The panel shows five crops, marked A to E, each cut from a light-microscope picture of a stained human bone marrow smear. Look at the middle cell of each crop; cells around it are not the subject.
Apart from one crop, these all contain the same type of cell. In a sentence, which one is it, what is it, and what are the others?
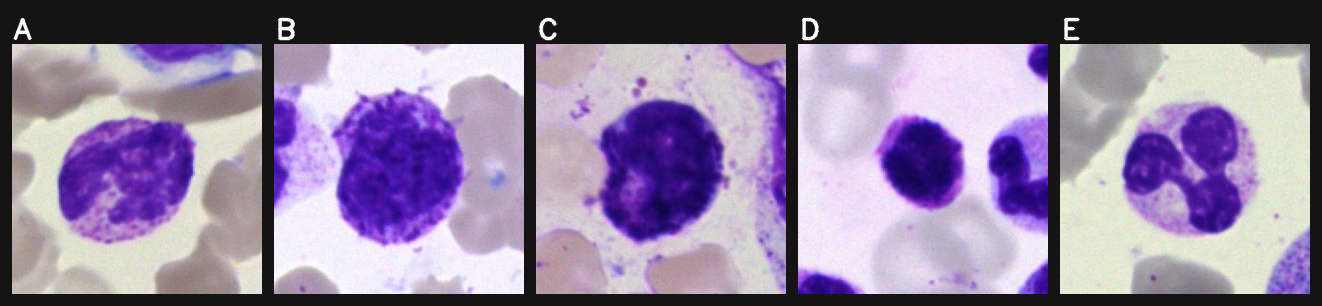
Of all the crops, only crop E shows a segmented neutrophil; the others show basophils.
